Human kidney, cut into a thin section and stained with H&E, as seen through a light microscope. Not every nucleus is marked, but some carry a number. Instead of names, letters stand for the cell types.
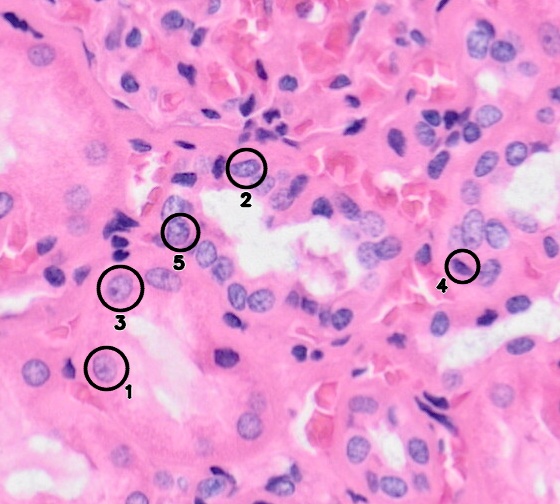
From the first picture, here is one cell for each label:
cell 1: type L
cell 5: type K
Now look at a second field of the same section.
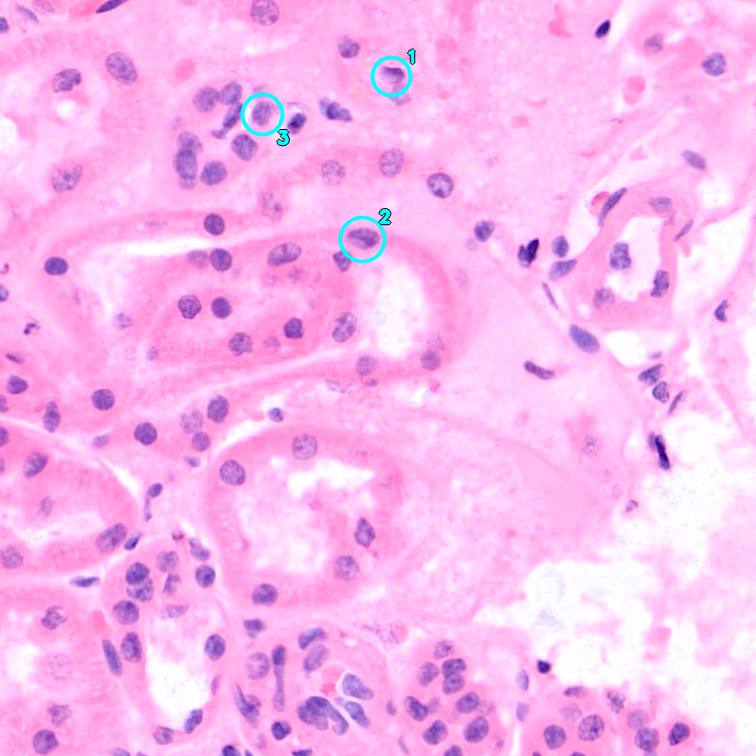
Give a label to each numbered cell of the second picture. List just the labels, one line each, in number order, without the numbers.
type L
type L
type K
